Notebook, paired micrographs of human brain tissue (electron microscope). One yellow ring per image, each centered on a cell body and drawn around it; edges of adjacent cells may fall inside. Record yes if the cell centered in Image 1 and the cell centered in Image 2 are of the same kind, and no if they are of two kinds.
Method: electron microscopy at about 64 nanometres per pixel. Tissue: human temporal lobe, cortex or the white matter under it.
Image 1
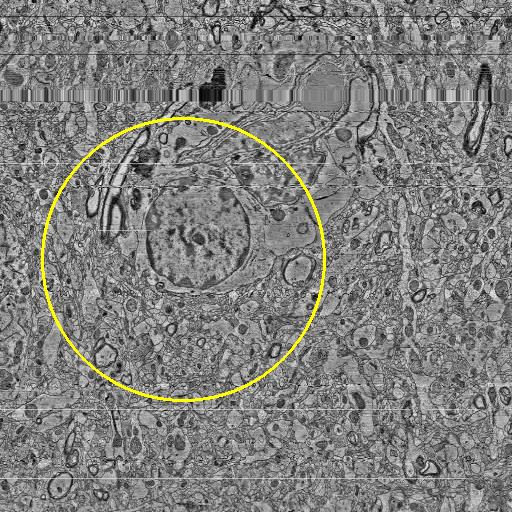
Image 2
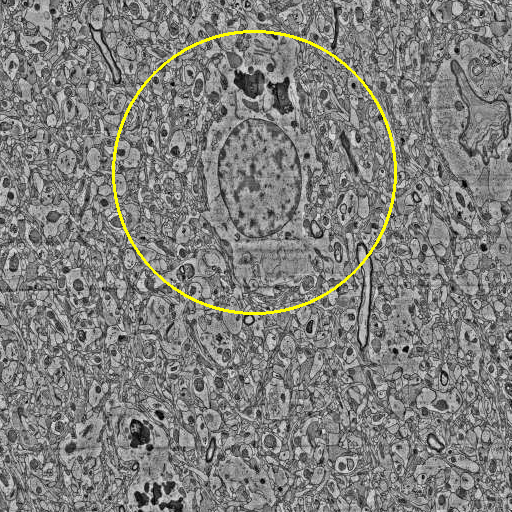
no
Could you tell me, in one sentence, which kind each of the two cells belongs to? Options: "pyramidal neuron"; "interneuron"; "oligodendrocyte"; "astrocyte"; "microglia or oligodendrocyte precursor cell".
At the centre of the first ring sits a microglial cell or oligodendrocyte precursor cell, and at the centre of the second sits an astrocyte.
